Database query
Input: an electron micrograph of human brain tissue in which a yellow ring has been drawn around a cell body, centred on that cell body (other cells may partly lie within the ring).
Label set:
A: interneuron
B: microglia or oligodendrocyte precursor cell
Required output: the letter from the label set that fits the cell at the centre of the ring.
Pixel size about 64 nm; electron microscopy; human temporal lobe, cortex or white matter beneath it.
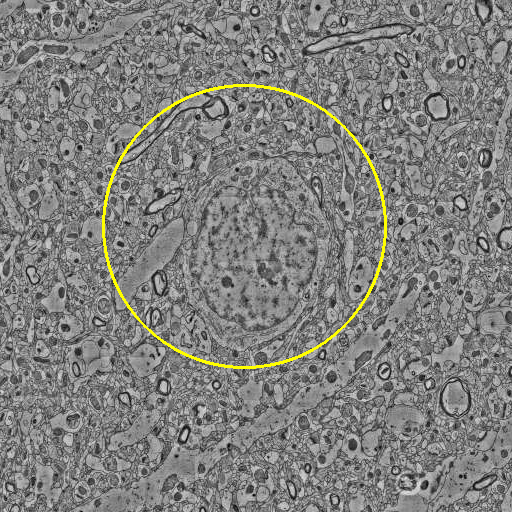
A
